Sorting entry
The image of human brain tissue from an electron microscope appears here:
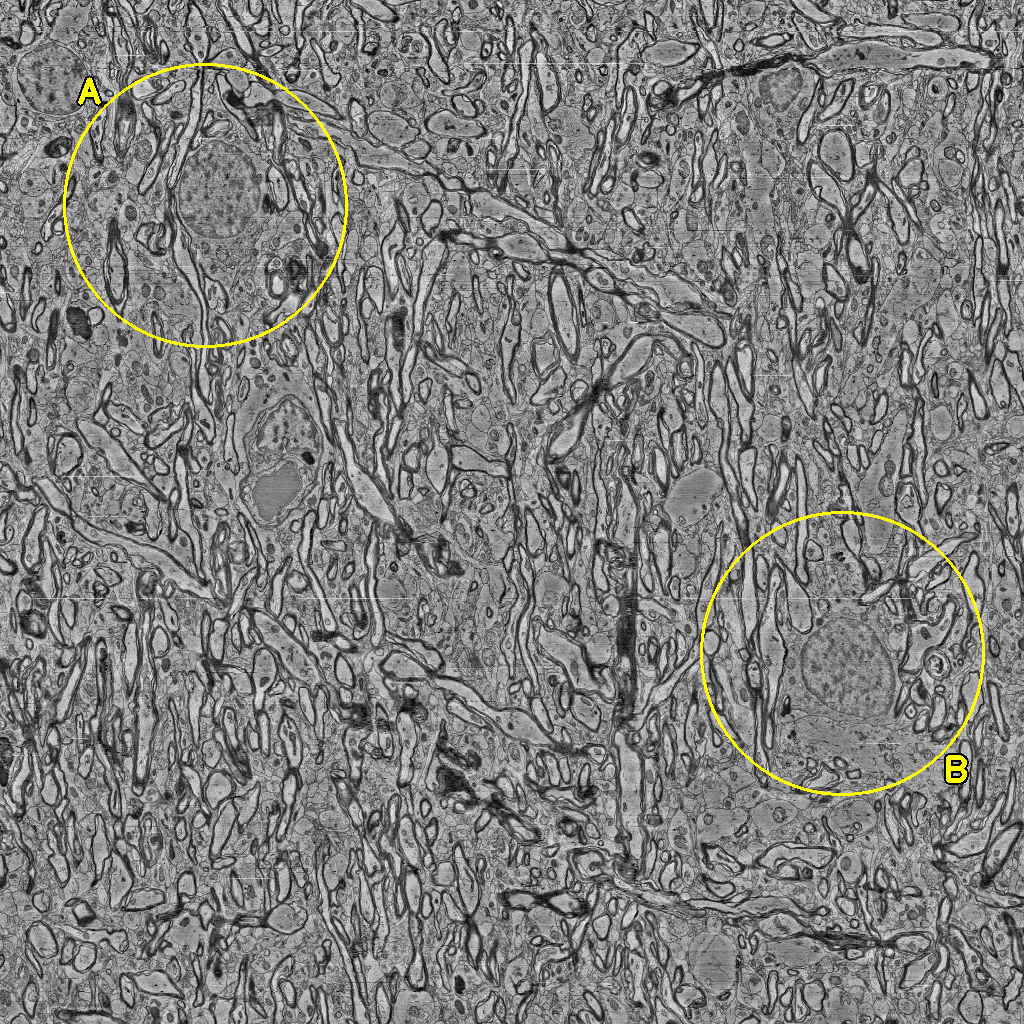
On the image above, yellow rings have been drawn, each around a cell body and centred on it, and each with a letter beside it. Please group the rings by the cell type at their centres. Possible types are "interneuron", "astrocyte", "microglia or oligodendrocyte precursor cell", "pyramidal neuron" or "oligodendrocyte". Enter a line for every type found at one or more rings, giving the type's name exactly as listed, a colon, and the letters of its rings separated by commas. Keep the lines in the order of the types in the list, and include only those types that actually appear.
oligodendrocyte: A, B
